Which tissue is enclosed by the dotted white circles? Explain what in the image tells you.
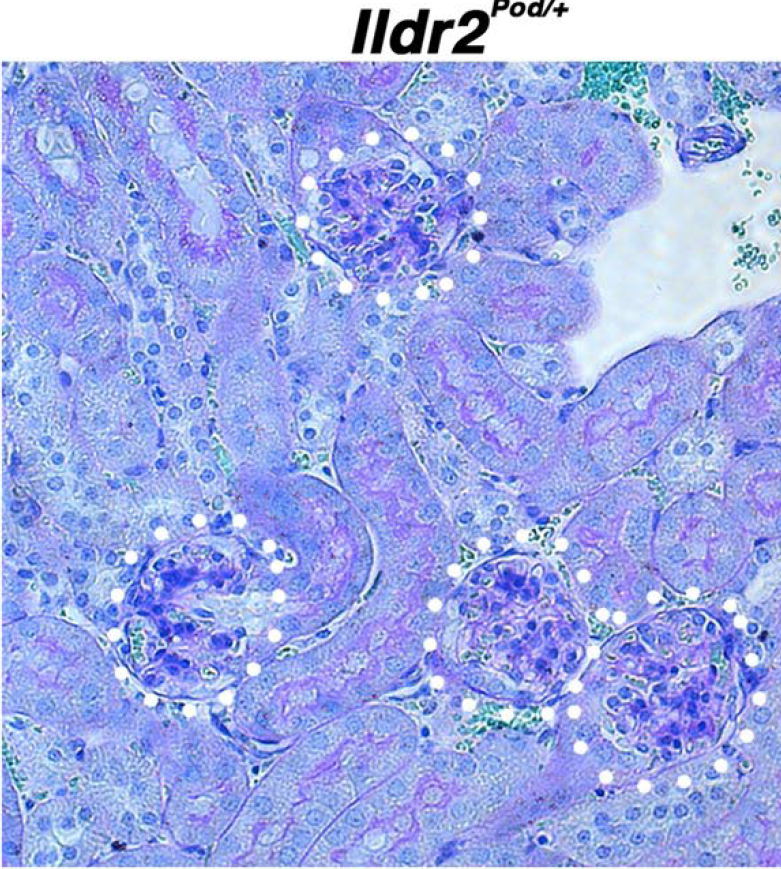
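Glomeruli. Each dotted circle surrounds a round, compact tuft of densely nucleated tissue. The circled tufts lie among tubules cut in cross and long section.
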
